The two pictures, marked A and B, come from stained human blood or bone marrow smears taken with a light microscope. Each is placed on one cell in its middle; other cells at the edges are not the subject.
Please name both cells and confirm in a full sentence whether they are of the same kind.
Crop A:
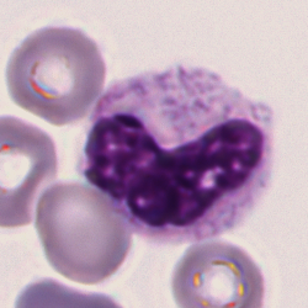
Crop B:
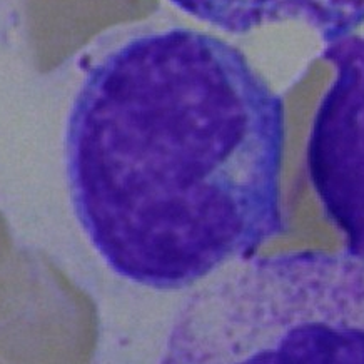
No, crop A depicts a band neutrophil, and crop B depicts a monocyte.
